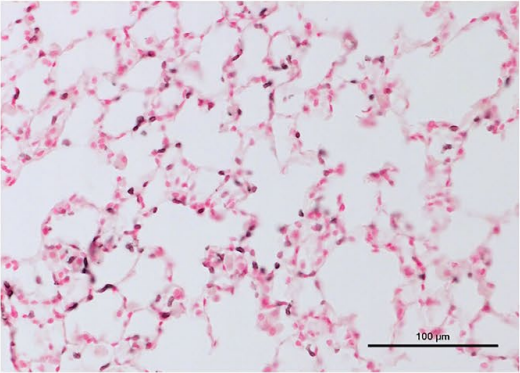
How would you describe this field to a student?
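Lung parenchyma in which thin alveolar septa, mostly one or two cells thick, outline irregular, rounded air spaces. Most nuclei along the septa are small, oval and stained pink. Numerous scattered cells are stained dark purple to black. They are small, with compact nuclei, and lie within the septa, often where several septa meet. Some air spaces appear somewhat larger and more irregular. The septal cytoplasm is pale pink and faint, and the air spaces are empty and white.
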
